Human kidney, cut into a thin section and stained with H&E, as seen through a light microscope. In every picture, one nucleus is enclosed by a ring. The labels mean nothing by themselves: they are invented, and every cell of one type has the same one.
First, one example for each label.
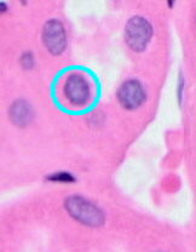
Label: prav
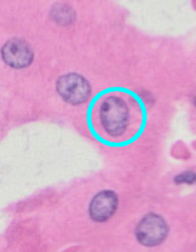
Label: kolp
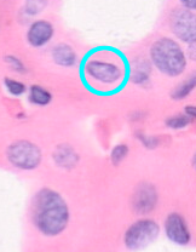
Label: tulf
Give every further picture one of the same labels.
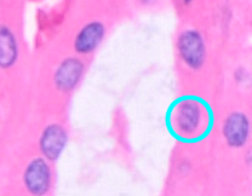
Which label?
prav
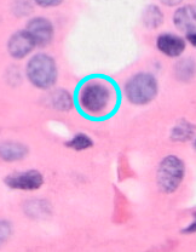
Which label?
tulf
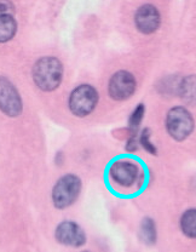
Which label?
tulf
